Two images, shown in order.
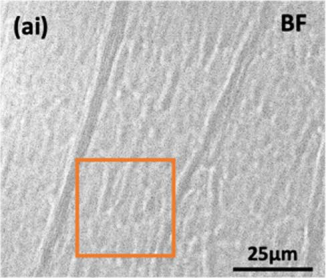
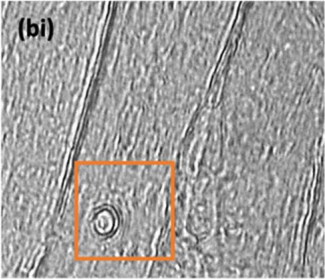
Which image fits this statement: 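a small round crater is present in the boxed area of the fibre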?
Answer: the second image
